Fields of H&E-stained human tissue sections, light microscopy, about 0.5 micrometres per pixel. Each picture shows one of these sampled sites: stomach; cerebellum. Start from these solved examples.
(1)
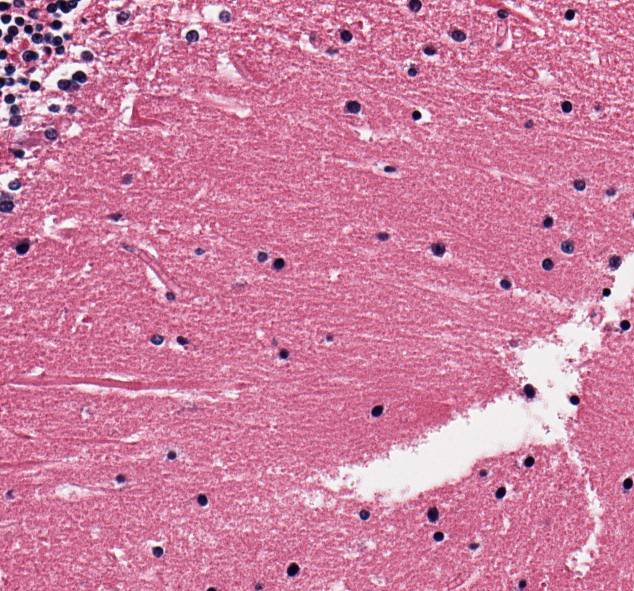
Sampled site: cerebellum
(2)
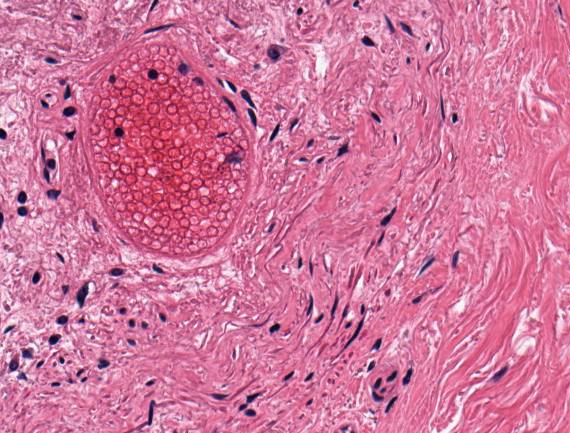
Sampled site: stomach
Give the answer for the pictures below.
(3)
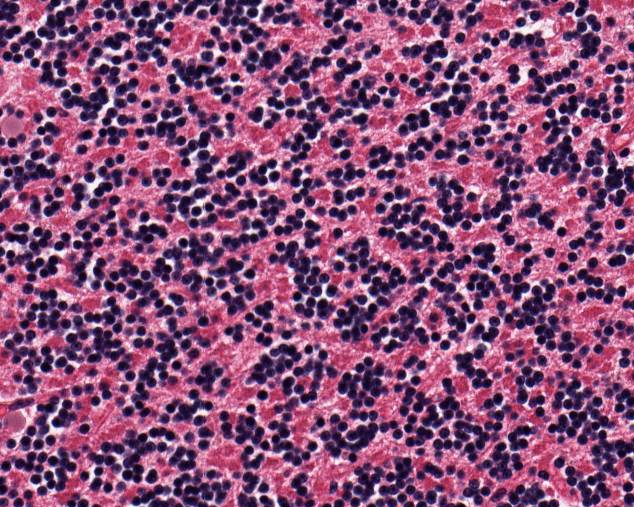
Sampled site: cerebellum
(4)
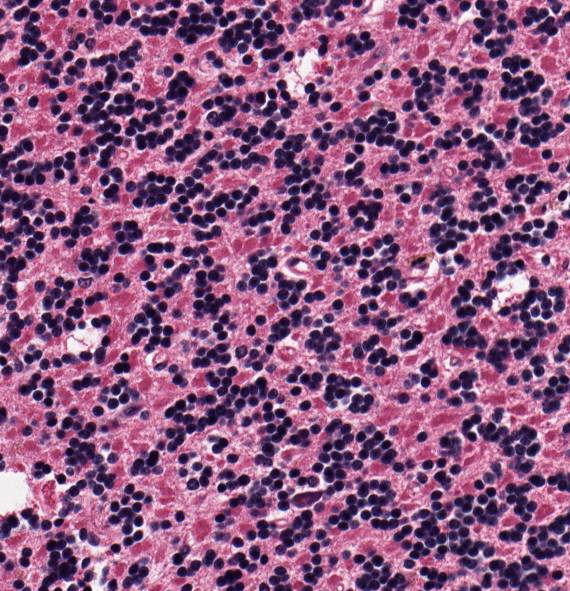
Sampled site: cerebellum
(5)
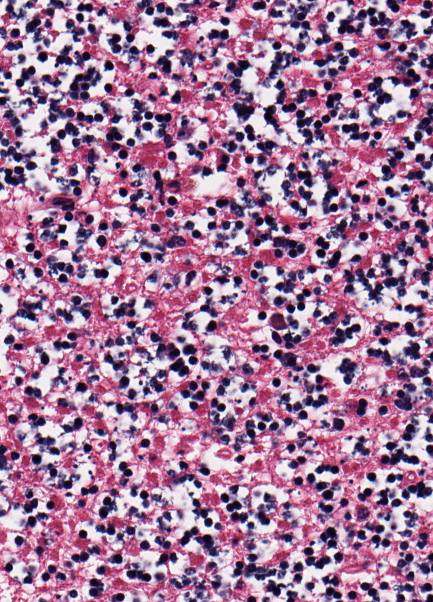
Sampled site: cerebellum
